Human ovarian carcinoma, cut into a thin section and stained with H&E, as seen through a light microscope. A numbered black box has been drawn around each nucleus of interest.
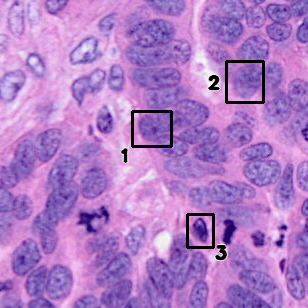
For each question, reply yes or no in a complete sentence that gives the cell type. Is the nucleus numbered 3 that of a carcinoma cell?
No, cell 3 is not a carcinoma cell; it is a lymphocyte.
